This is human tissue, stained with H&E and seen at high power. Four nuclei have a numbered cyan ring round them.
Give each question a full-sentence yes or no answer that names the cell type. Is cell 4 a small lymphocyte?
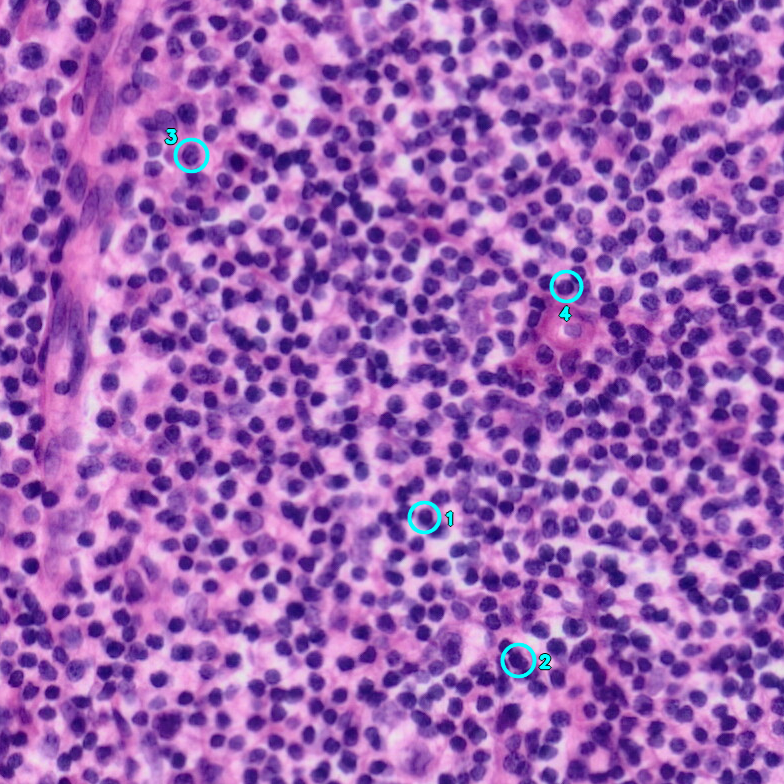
Yes, that is correct: the cell numbered 4 is a small lymphocyte.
